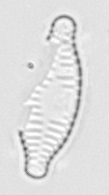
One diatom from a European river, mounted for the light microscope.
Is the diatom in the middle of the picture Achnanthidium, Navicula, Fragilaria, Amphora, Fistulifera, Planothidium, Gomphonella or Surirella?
It is Fragilaria.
